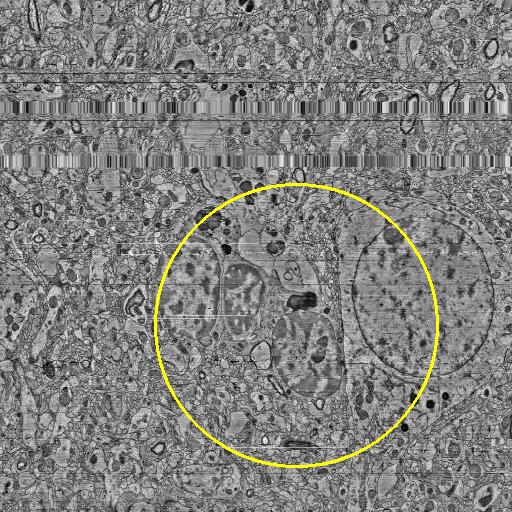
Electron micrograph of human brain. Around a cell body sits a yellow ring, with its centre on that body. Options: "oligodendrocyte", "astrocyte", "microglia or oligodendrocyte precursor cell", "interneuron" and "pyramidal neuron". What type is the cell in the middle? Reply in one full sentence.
The cell sitting at the centre of the yellow ring is an oligodendrocyte.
